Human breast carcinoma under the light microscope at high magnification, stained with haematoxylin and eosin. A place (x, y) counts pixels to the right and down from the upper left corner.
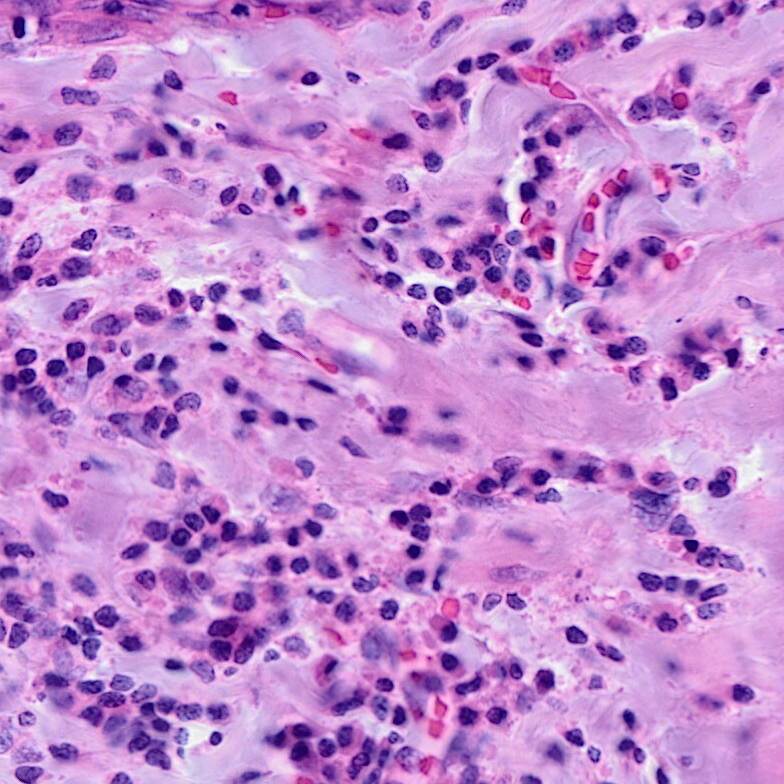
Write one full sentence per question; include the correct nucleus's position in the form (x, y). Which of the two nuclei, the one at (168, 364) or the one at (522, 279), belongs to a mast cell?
The nucleus of a mast cell is the one at (522, 279).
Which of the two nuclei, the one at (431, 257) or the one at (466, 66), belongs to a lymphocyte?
Of the two candidate nuclei, the one at (466, 66) is that of a lymphocyte.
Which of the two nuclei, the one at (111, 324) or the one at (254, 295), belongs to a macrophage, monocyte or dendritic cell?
The one nucleus of the two that belongs to a macrophage, monocyte or dendritic cell is at (111, 324).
